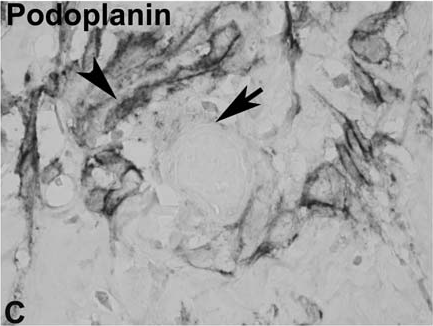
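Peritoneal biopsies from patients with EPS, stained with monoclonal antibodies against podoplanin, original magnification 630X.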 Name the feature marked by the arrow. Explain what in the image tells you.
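The arrow points to a round structure with concentric layered wall. The wall of this round structure is largely unstained. On this evidence: arteries.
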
